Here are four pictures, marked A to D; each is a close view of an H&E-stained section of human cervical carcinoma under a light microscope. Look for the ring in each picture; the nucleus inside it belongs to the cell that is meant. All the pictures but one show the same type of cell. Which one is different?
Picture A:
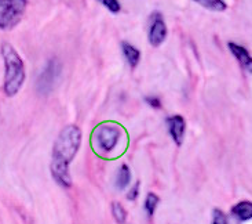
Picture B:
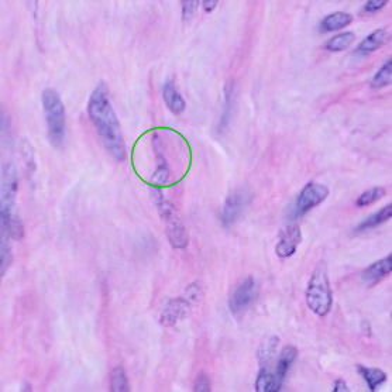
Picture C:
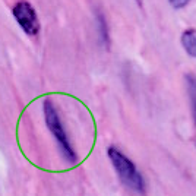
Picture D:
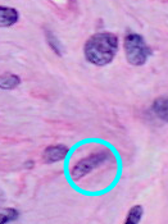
C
